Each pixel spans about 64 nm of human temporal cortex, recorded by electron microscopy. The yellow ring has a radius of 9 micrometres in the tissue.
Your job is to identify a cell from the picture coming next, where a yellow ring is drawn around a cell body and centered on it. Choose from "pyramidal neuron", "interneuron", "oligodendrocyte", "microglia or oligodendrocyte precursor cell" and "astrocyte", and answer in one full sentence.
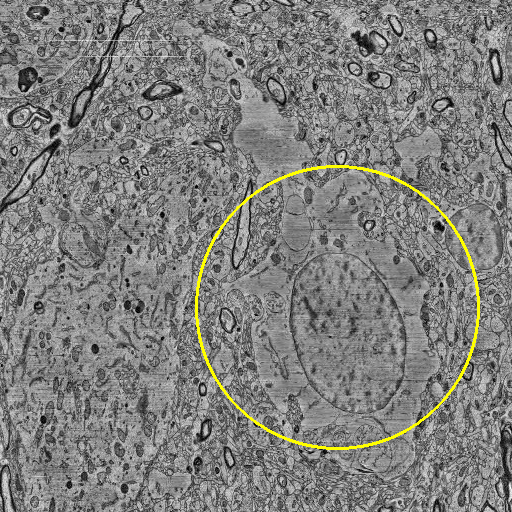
Centered in the yellow ring of the picture is the body of an astrocyte.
